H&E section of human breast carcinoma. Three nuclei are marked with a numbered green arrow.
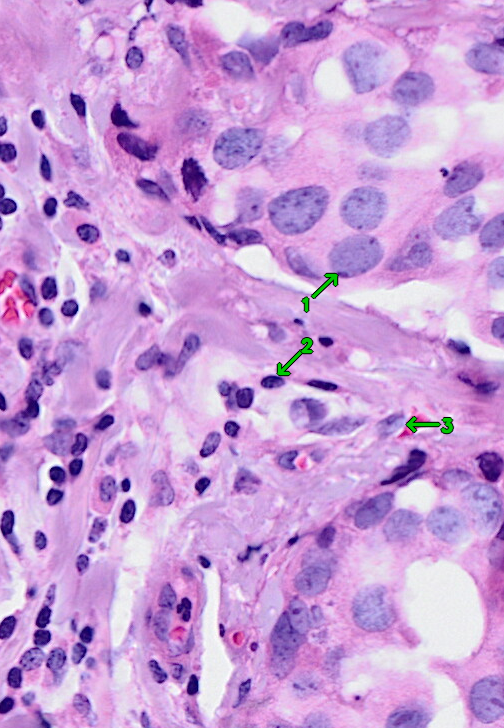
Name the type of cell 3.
endothelial cell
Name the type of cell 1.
carcinoma cell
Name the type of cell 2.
lymphocyte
